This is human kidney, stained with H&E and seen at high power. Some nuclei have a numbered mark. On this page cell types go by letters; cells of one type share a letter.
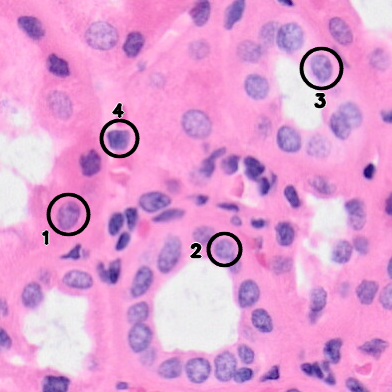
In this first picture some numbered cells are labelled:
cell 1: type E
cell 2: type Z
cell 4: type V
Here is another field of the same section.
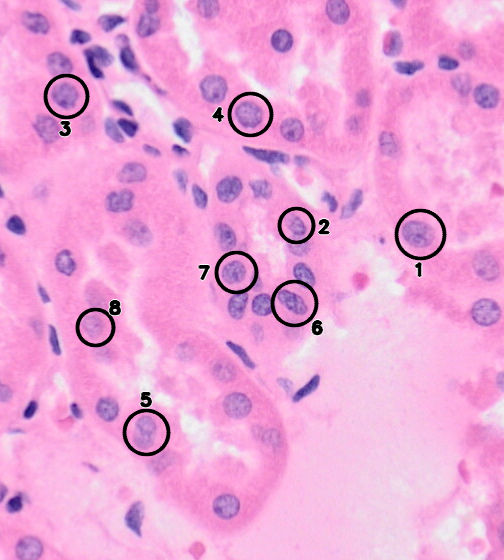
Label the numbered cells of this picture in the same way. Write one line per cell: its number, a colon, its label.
1: type E
2: type Z
3: type E
4: type E
5: type E
6: type Z
7: type Z
8: type E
